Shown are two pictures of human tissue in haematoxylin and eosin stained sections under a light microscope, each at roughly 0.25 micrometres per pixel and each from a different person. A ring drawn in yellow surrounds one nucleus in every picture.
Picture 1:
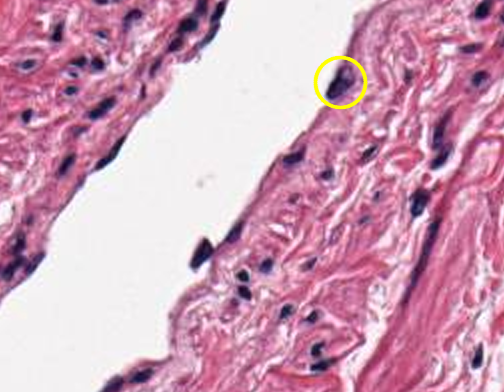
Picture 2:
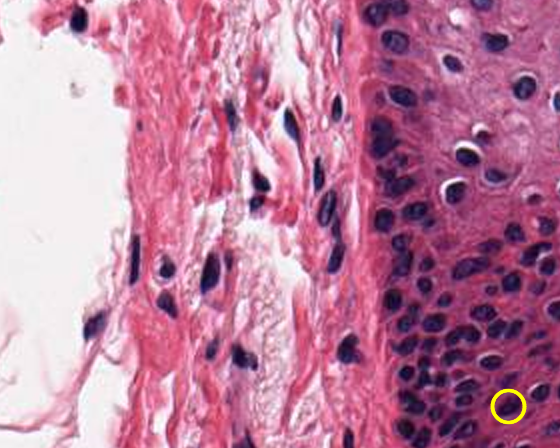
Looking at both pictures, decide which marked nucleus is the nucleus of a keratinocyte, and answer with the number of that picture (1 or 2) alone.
2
